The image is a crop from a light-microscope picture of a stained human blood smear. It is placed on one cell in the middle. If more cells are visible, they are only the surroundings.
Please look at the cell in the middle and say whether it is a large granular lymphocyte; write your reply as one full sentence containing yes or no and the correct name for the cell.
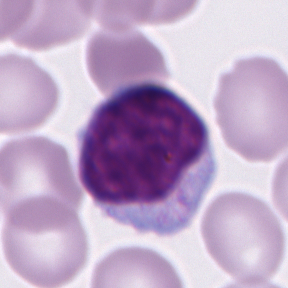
No, what sits in the centre of the crop is a typical lymphocyte rather than a large granular lymphocyte.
